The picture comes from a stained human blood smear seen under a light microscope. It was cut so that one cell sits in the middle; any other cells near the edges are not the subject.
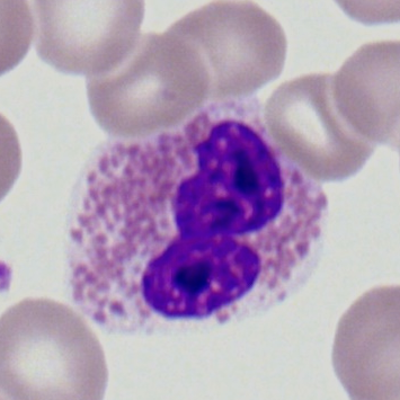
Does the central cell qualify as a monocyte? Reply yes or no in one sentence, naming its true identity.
No, the centre of the crop contains an eosinophil rather than a monocyte.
